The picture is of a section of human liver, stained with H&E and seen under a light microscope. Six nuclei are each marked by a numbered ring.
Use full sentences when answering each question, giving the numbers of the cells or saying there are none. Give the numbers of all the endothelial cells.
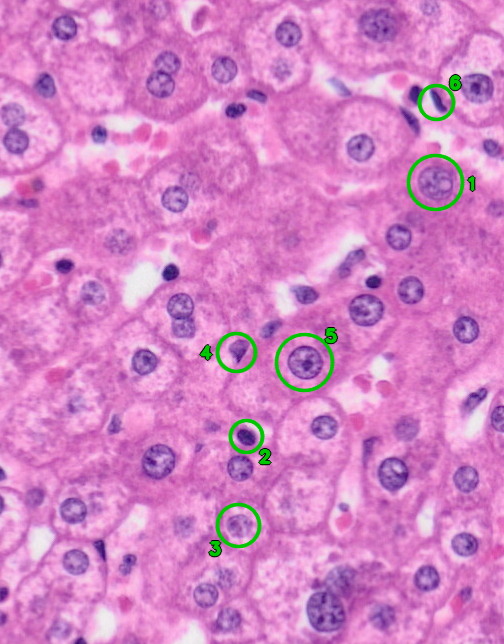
The cells referred to by numbers 4 and 6 are endothelial cells.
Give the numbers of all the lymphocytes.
In short, cell 2 is a lymphocyte; the others are not.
